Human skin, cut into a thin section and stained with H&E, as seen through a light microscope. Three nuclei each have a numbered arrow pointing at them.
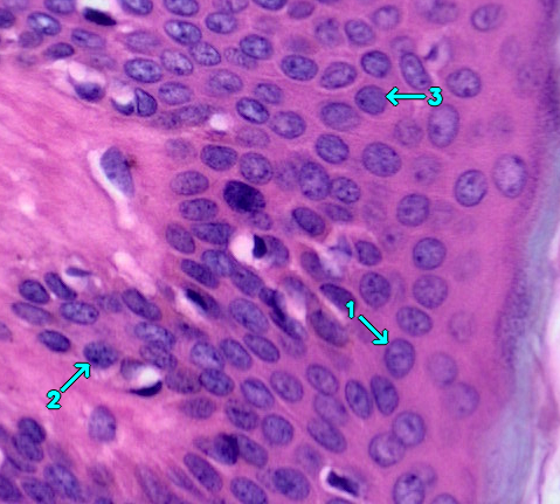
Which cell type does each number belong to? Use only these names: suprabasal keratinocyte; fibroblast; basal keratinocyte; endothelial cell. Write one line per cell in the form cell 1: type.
cell 1: suprabasal keratinocyte
cell 2: basal keratinocyte
cell 3: suprabasal keratinocyte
